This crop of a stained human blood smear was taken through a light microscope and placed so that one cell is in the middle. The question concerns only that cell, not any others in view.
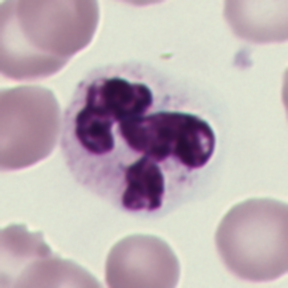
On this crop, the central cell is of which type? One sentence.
Among the cells in view, the one in the middle is a segmented neutrophil.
